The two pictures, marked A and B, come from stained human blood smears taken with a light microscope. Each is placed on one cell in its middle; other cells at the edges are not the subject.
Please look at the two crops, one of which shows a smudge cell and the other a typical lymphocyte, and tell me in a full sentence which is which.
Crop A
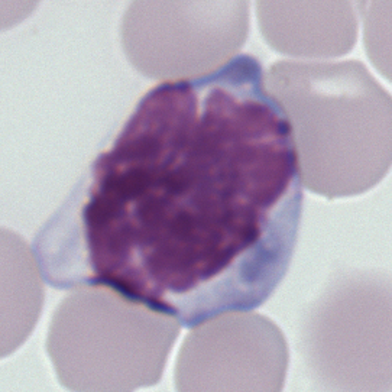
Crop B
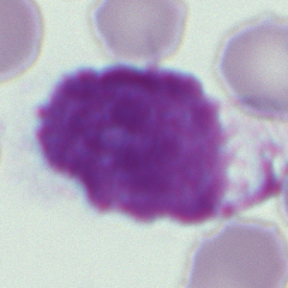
Crop A is occupied by a typical lymphocyte, and crop B is occupied by a smudge cell.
